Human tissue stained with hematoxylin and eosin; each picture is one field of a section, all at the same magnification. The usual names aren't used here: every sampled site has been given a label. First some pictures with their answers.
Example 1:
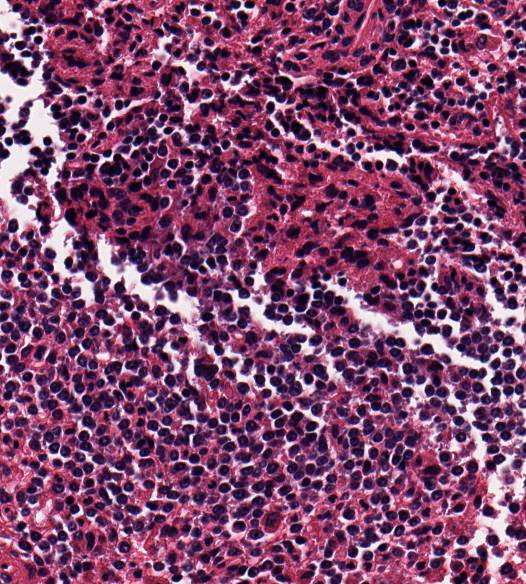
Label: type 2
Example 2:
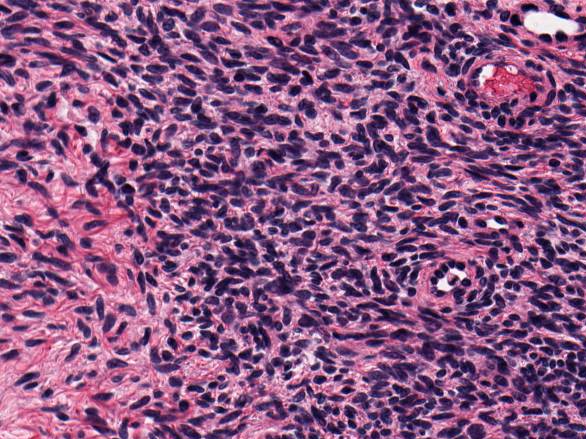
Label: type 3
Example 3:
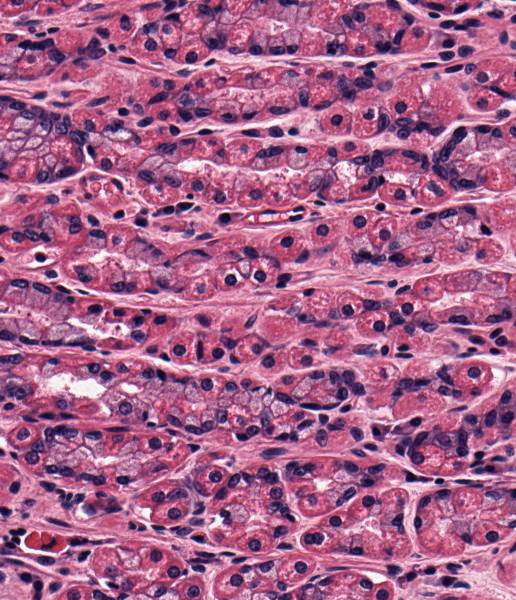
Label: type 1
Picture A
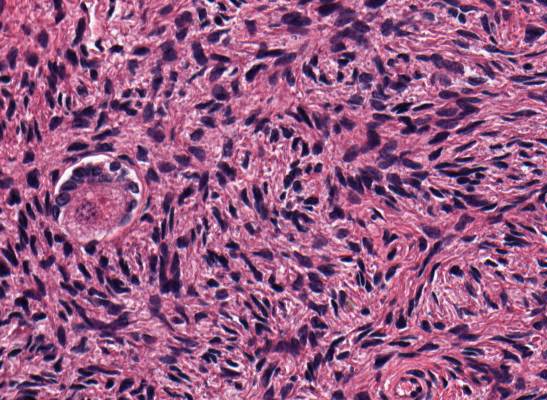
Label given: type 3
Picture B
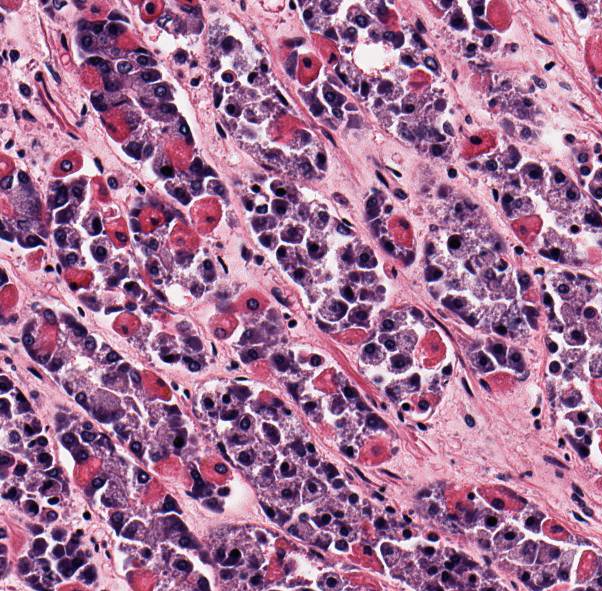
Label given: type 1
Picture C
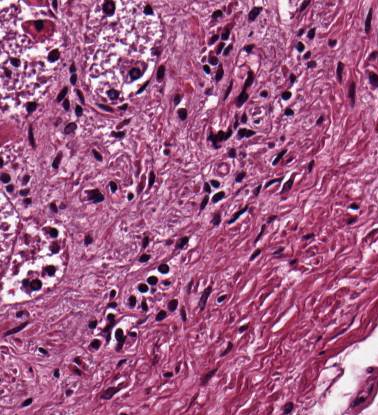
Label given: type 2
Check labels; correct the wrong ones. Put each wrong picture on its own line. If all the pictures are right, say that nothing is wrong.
C: not type 2 but type 1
